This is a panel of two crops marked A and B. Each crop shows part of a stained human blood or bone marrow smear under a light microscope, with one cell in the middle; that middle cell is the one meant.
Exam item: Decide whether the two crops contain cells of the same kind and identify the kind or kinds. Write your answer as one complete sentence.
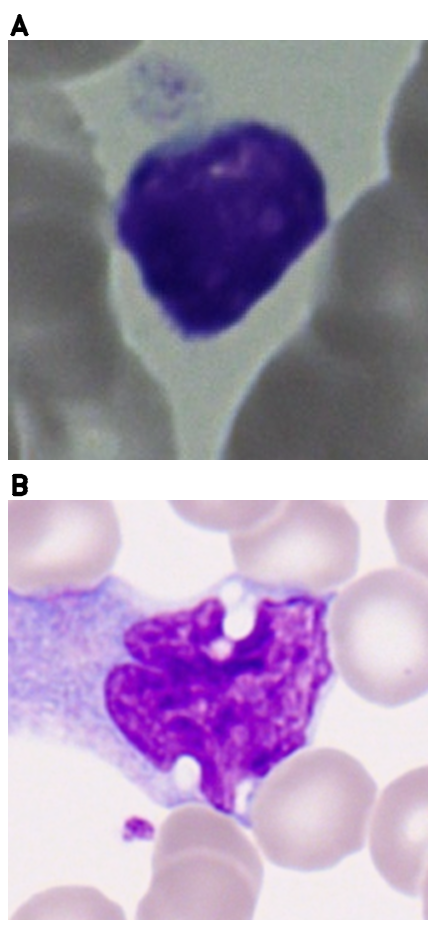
No, a lymphocyte lies at the centre of crop A, and a monocyte lies at the centre of crop B.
